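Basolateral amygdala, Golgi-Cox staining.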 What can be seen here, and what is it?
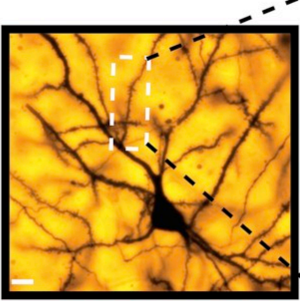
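Several thick dendrites leave the cell body and branch repeatedly as they spread out, tapering toward their ends. Impregnated processes from other cells cross the surrounding neuropil, some in focus and some blurred, so the field shows a tangle of fine dark lines. Along the dendrites, small irregular thickenings can be made out. A dashed rectangle marks one stretch of dendrite rising from the cell body.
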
